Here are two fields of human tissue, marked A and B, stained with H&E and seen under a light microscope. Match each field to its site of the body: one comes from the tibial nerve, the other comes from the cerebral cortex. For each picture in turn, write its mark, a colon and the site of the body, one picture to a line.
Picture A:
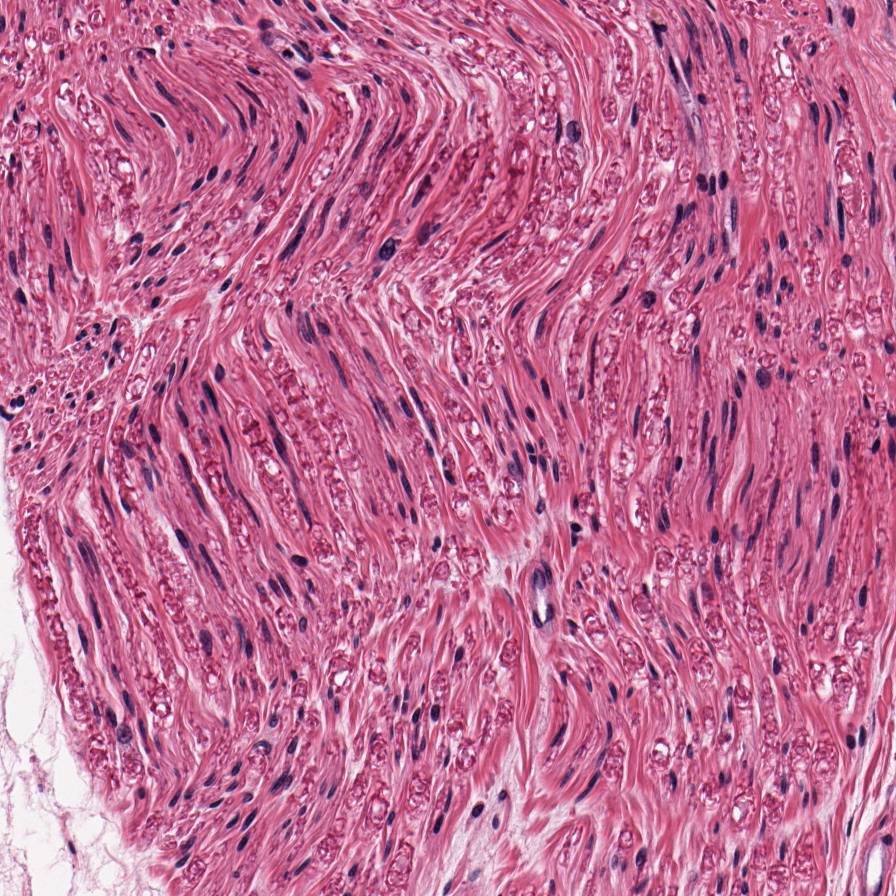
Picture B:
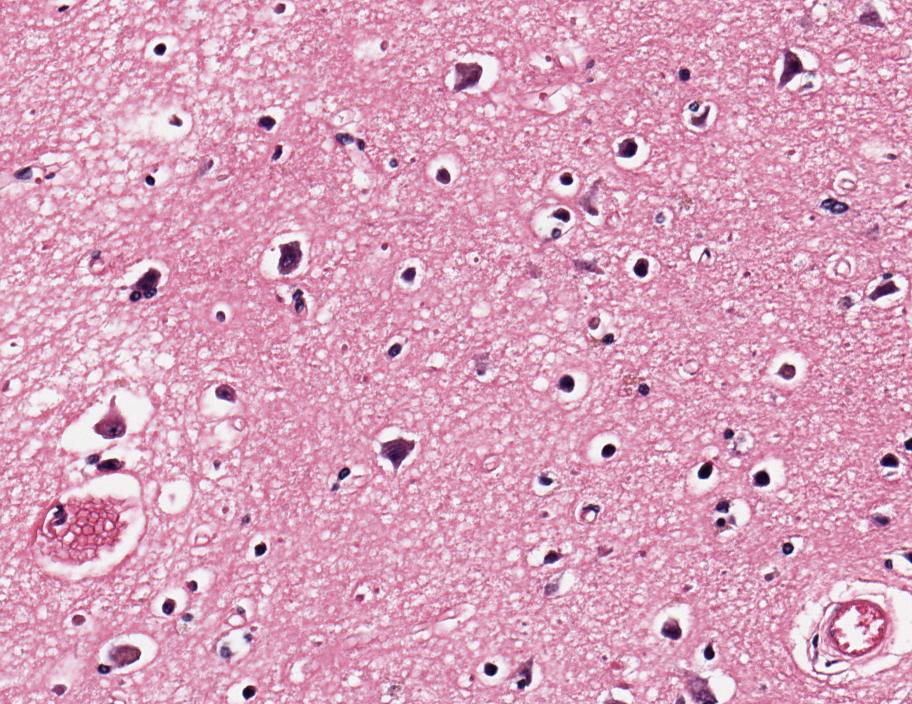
A: tibial nerve
B: cerebral cortex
